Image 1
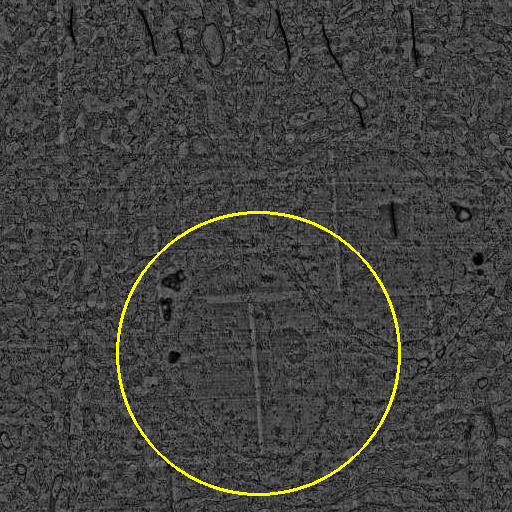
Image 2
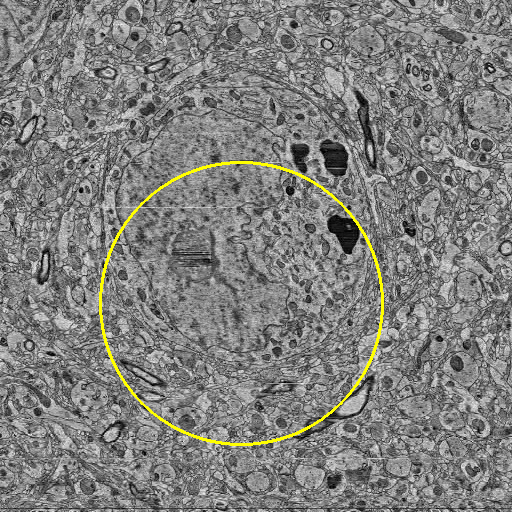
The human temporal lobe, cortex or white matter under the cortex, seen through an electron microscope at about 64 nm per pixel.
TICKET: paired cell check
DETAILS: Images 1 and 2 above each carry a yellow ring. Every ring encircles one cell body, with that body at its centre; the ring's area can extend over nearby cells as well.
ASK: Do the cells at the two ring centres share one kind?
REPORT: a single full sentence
No, the ring-centre cells of Images 1 and 2 belong to two kinds.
